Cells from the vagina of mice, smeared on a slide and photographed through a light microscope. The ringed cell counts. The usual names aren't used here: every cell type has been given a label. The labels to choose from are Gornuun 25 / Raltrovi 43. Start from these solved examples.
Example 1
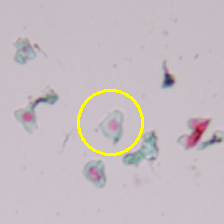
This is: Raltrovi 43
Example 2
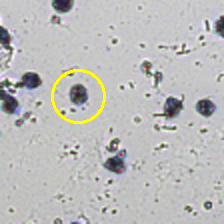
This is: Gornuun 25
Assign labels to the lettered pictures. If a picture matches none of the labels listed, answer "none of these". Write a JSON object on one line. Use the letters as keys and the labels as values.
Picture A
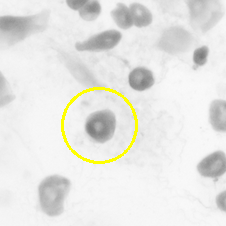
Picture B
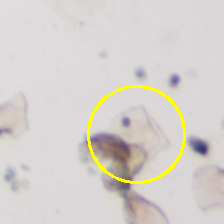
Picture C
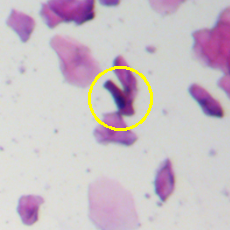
{"A": "Raltrovi 43", "B": "none of these", "C": "none of these"}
